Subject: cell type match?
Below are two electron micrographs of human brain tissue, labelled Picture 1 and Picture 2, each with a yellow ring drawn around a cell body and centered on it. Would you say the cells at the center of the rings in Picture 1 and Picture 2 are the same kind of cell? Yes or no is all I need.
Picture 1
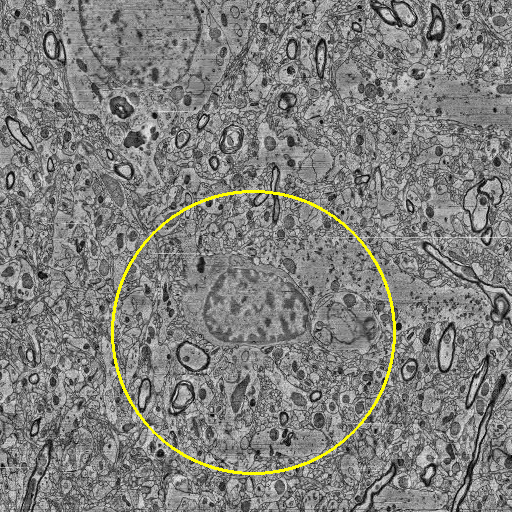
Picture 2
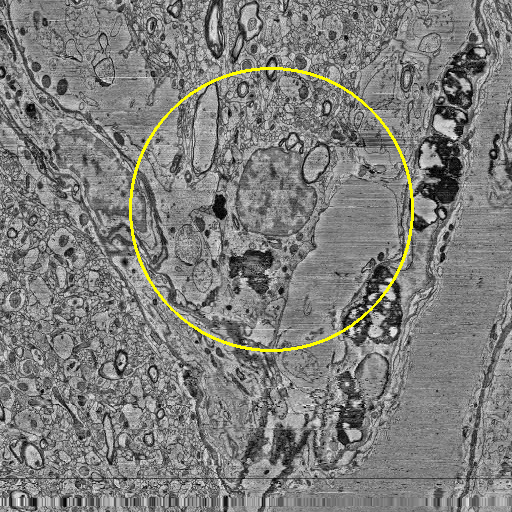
yes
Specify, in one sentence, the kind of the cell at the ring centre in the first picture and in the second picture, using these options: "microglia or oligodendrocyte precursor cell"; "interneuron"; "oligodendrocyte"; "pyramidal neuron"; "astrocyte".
Each of the two rings is centred on an oligodendrocyte.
